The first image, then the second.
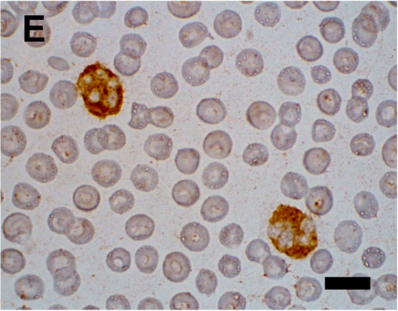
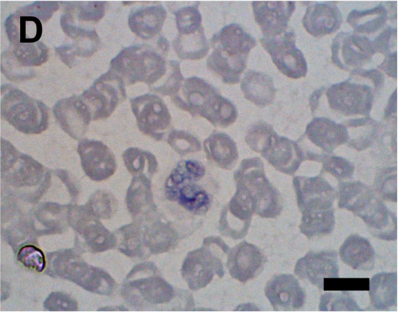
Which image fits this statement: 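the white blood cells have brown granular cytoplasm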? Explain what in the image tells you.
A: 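The first image. First image: two nucleated white blood cells are stained strongly brown among pale red cells. Second image: the nucleated white blood cell shows blue nuclear lobes with no brown stain.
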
